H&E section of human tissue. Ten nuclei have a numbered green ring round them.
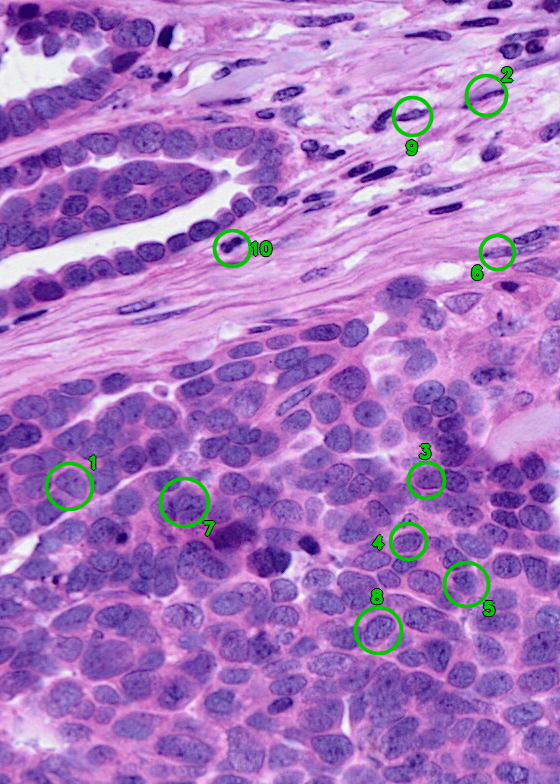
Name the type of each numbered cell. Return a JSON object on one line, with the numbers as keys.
{"1": "carcinoma cell", "2": "fibroblast", "3": "carcinoma cell", "4": "carcinoma cell", "5": "carcinoma cell", "6": "fibroblast", "7": "carcinoma cell", "8": "carcinoma cell", "9": "fibroblast", "10": "lymphocyte"}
